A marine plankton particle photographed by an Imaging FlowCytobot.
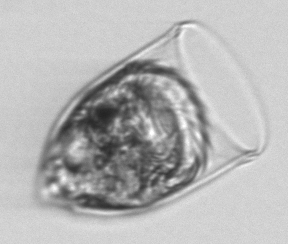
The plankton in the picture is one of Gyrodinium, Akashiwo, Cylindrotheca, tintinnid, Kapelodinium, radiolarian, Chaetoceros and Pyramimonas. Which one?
tintinnid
